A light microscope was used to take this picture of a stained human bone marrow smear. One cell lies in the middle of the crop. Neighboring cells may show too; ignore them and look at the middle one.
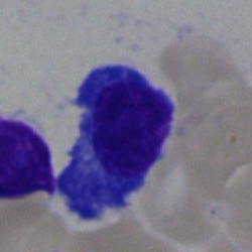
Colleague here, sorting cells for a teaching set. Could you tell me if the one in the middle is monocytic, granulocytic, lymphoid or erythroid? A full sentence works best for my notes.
The cell at the middle of this crop is assigned to the lymphoid lineage.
